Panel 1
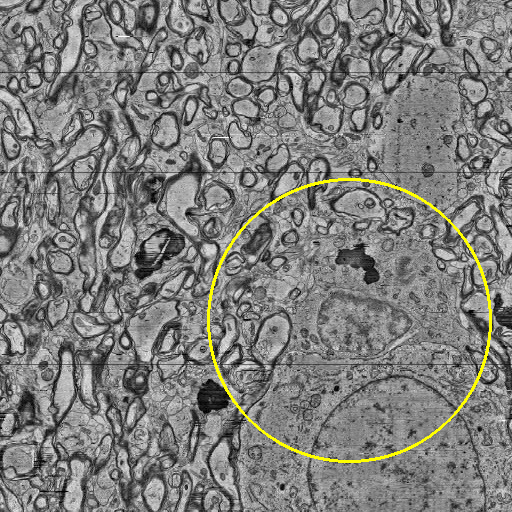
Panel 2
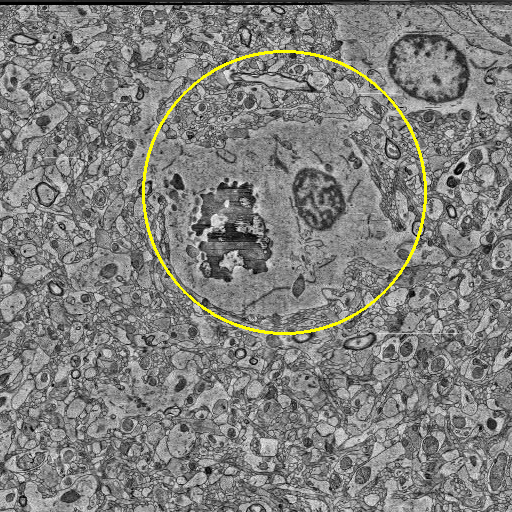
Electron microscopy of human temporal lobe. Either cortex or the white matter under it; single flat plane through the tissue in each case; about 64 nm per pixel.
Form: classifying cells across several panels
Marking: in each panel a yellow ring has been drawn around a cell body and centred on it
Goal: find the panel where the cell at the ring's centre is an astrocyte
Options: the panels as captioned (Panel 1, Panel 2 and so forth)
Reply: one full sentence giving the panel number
Panel 2 shows the wanted cell at the centre of its ring.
